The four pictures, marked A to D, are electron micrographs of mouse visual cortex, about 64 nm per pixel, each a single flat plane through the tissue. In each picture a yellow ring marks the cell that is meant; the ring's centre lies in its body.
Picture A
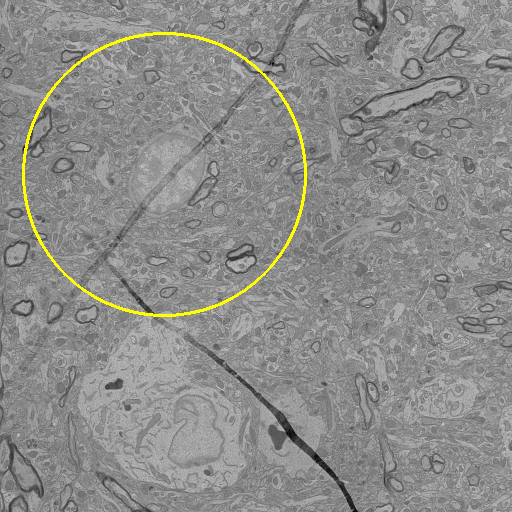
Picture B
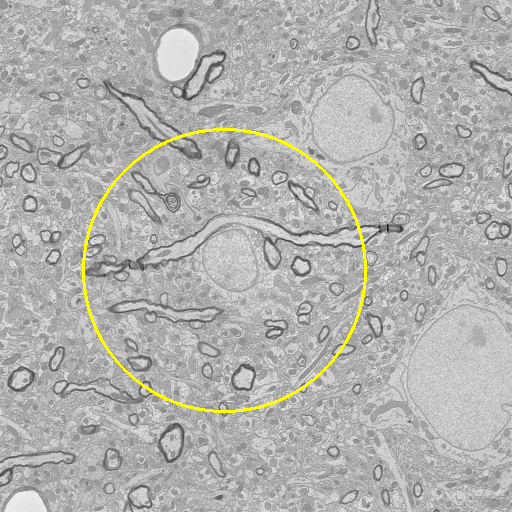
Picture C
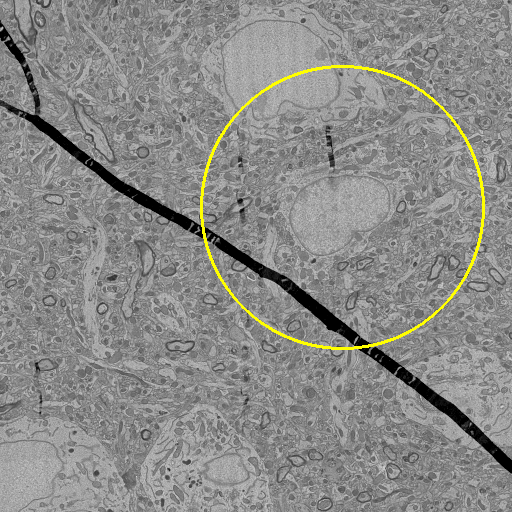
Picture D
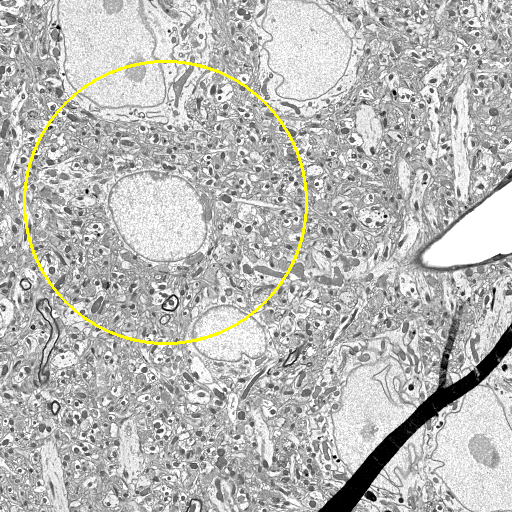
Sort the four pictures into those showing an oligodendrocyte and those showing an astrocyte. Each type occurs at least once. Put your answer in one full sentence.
Picture A shows an oligodendrocyte, and pictures B, C and D show astrocytes.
